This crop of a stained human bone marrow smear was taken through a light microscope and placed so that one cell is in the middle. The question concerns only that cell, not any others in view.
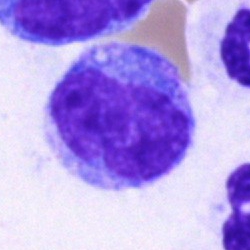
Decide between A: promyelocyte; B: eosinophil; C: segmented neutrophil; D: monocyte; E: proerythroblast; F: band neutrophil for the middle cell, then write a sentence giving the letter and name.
The middle cell of the crop is a monocyte; accordingly, option D is correct.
